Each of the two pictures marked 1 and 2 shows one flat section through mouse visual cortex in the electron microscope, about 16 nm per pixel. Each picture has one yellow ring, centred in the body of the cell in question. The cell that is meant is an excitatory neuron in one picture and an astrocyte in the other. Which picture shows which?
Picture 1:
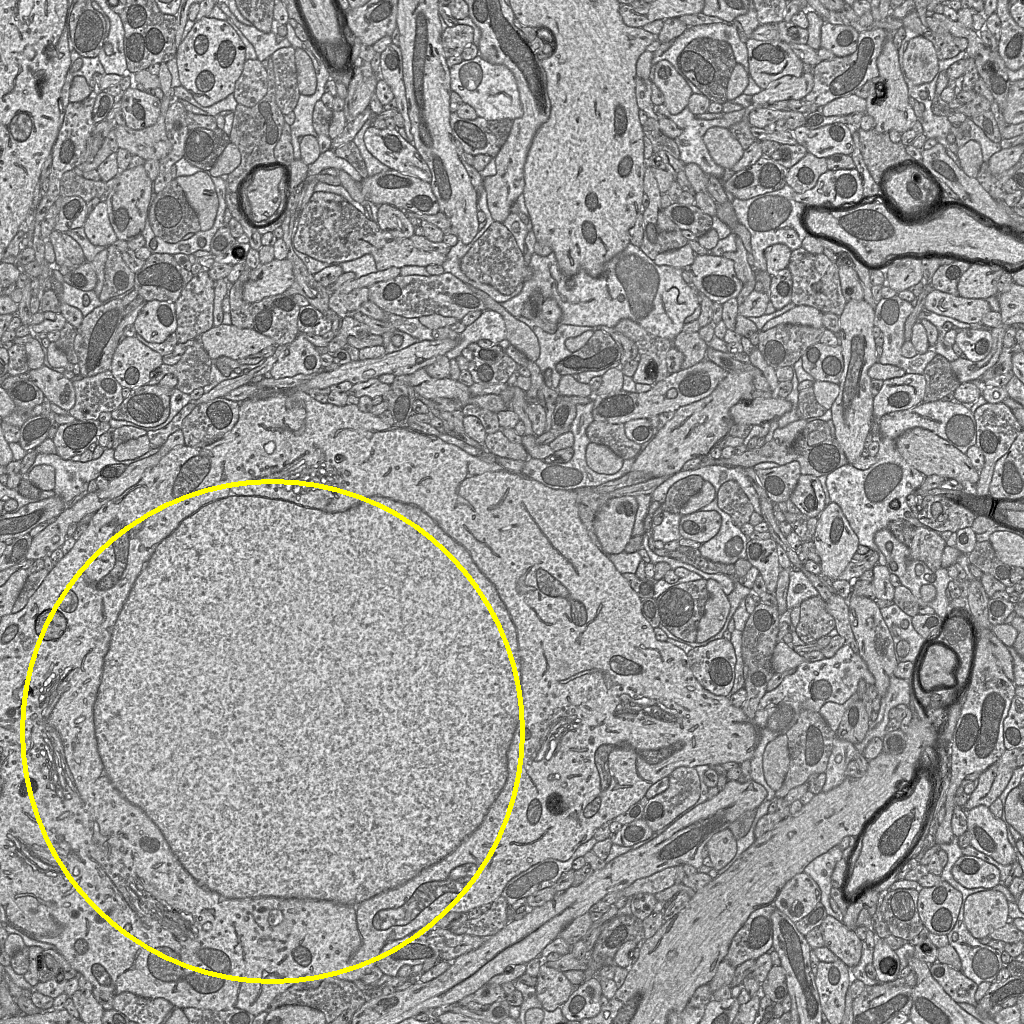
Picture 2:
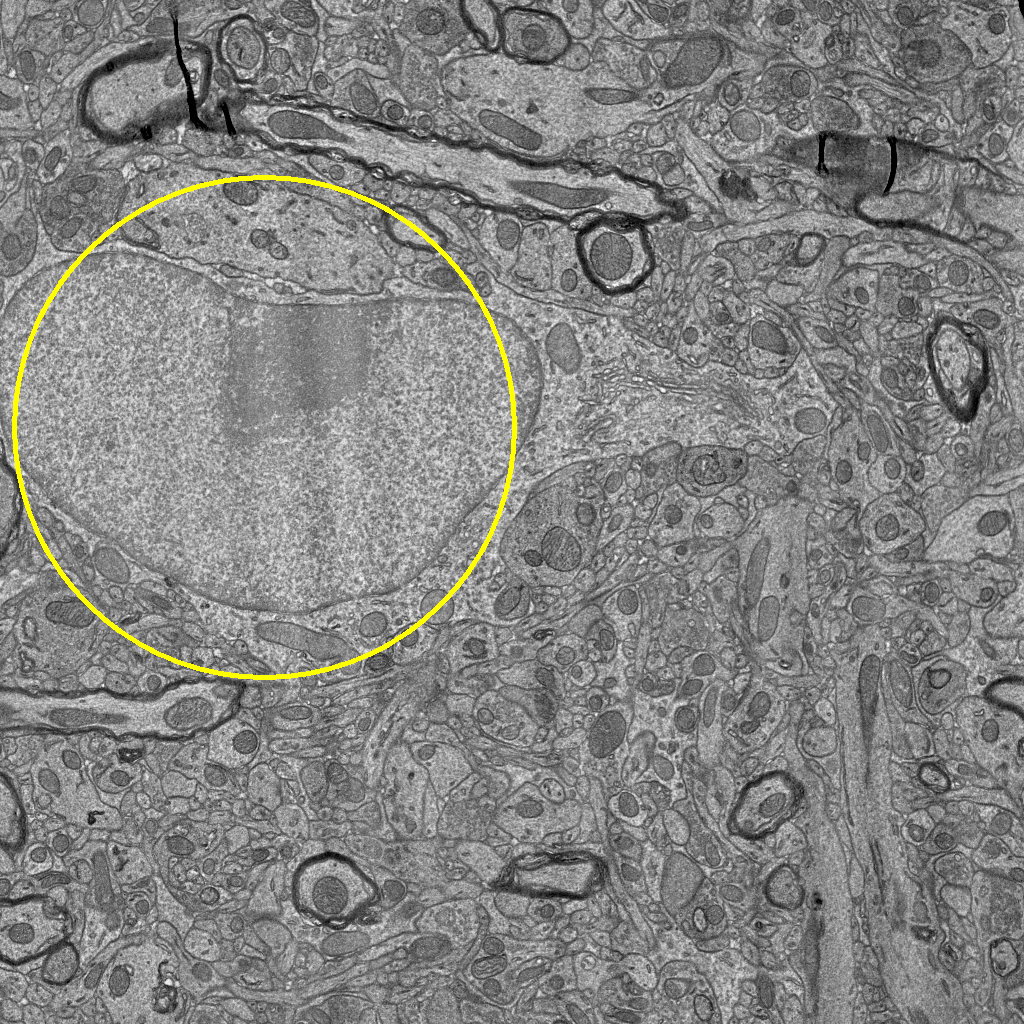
Picture 1 shows an excitatory neuron and picture 2 shows an astrocyte.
